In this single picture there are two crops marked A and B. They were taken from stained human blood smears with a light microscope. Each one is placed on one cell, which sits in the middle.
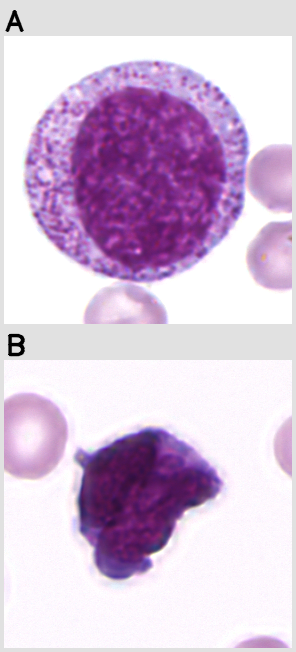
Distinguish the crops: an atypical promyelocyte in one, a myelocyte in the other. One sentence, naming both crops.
The central cell of crop A is a myelocyte, and that of crop B is an atypical promyelocyte.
